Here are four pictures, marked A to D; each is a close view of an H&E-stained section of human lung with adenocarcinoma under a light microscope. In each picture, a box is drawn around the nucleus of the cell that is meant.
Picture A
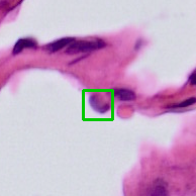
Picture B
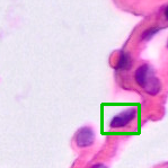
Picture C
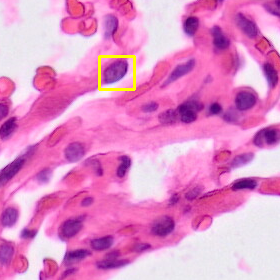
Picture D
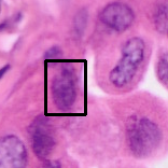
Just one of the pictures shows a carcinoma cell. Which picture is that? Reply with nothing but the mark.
D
